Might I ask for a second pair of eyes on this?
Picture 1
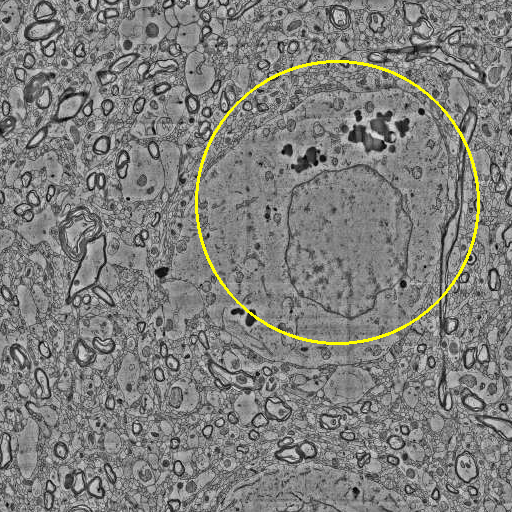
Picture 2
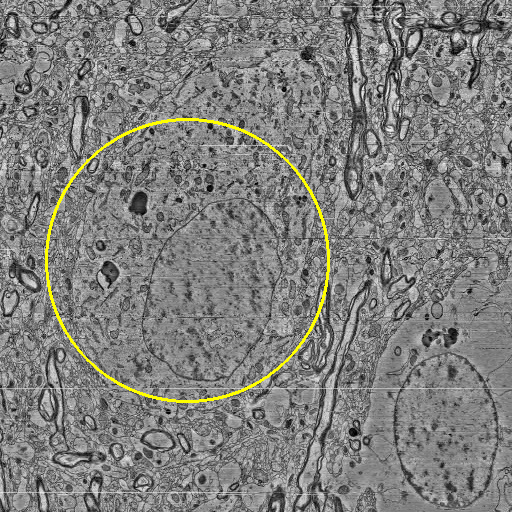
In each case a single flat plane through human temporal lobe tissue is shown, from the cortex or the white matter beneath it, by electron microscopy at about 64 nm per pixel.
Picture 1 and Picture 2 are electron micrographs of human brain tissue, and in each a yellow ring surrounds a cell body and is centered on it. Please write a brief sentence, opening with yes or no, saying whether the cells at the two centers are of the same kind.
Yes, the cells are of the same kind.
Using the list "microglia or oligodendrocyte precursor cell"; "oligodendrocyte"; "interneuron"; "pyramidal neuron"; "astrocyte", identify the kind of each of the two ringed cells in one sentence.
The second cell is a pyramidal neuron, just as the first is.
